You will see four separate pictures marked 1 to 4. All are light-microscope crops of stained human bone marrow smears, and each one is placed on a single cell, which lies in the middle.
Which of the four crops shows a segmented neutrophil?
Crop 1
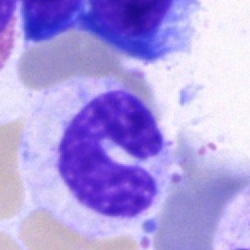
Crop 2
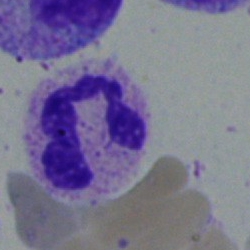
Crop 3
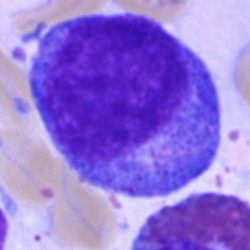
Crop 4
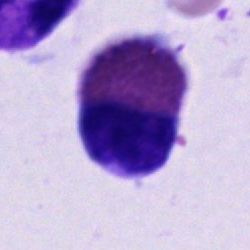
2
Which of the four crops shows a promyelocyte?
3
